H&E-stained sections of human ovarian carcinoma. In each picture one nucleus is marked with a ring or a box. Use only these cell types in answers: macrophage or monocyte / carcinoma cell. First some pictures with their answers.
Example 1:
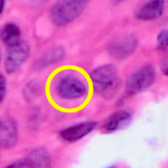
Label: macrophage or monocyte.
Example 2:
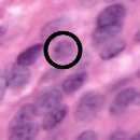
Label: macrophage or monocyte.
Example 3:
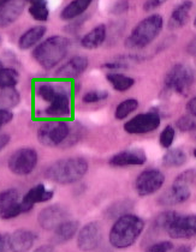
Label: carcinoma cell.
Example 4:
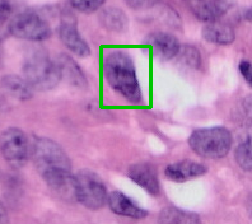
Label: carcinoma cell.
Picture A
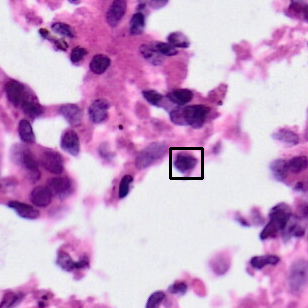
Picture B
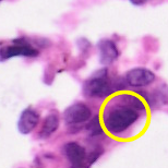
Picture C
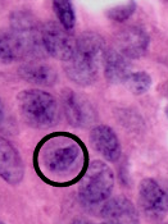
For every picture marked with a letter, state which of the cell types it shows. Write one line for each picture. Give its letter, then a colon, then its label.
A: macrophage or monocyte.
B: carcinoma cell.
C: macrophage or monocyte.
